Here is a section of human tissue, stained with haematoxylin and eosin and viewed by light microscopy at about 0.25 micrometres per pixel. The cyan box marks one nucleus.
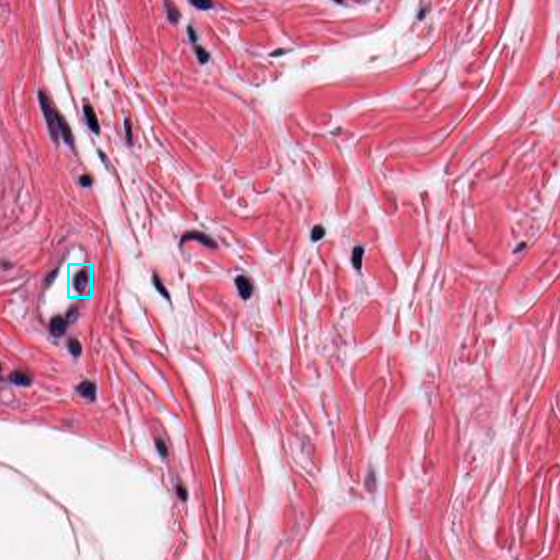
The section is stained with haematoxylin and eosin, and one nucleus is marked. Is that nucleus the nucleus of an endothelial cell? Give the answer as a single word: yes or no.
yes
